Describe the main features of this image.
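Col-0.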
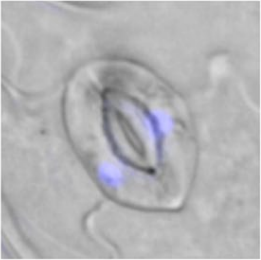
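A stoma of the leaf epidermis is seen in grey, two guard cells curving around a narrow central slit. Apart from these spots, the guard cells and the surrounding wavy-walled epidermal cells show little blue. The pore itself is dark-rimmed and nearly closed.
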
